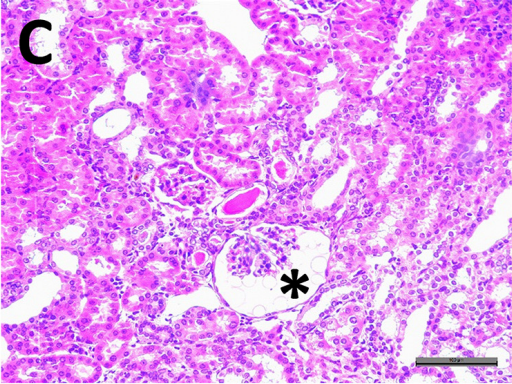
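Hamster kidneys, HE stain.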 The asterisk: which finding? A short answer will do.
Dilatation of the Bowman’s space.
